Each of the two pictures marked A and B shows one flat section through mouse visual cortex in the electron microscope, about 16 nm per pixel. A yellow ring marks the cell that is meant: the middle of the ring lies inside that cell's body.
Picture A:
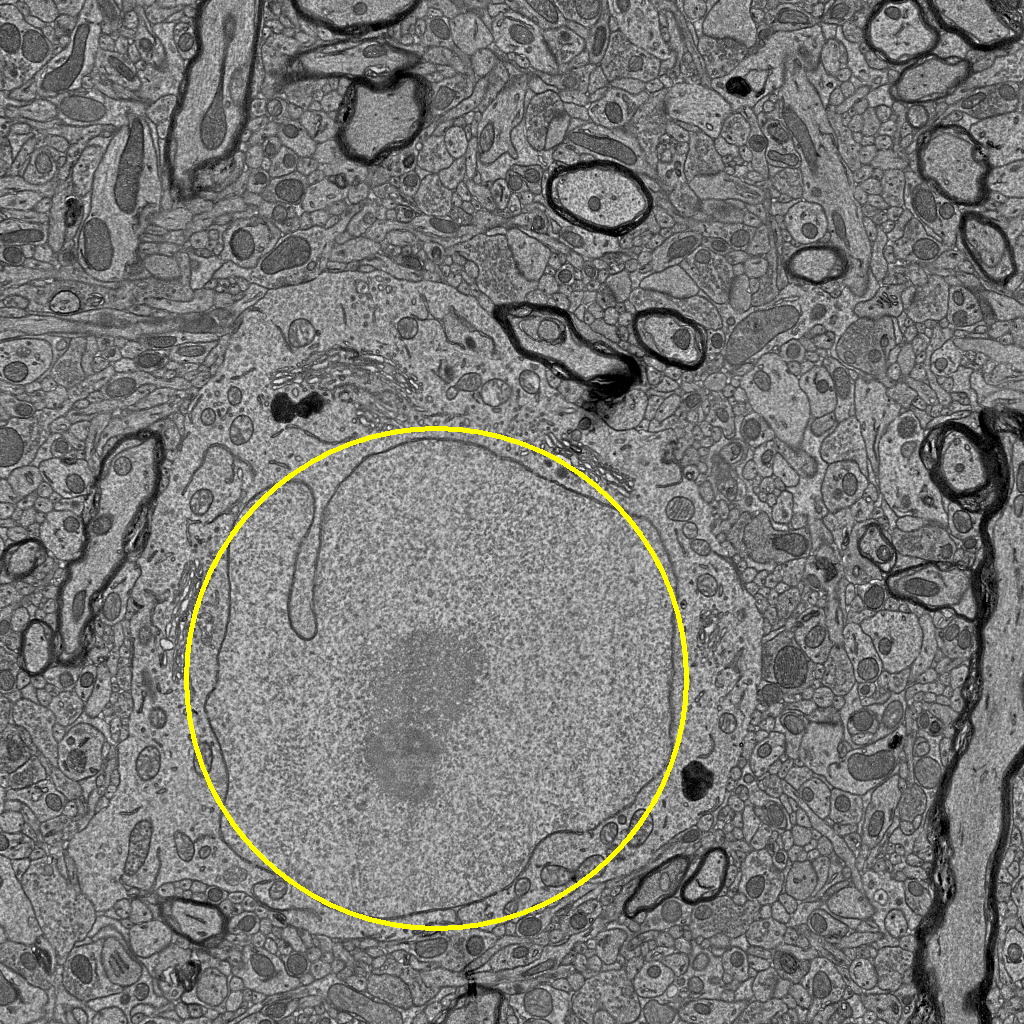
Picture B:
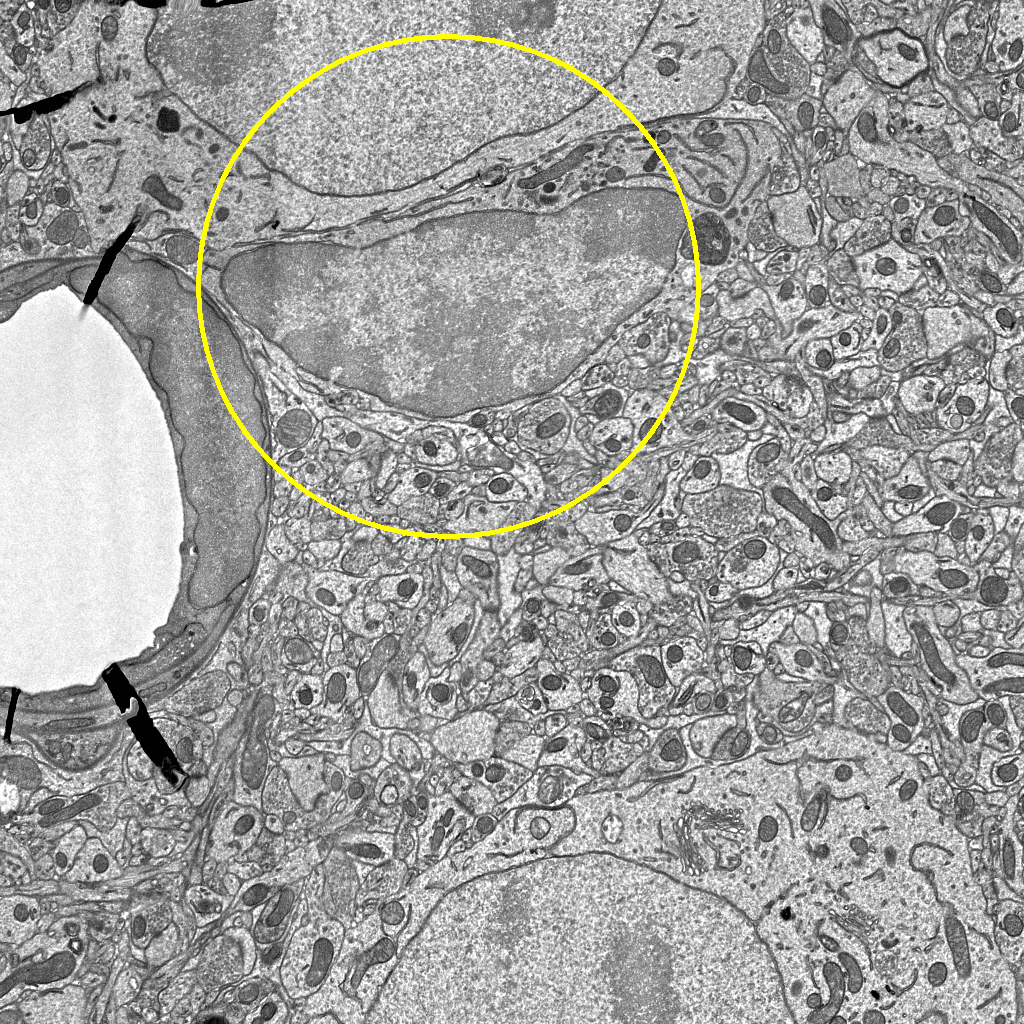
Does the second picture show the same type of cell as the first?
No, picture A shows an excitatory neuron and picture B shows a microglial cell.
